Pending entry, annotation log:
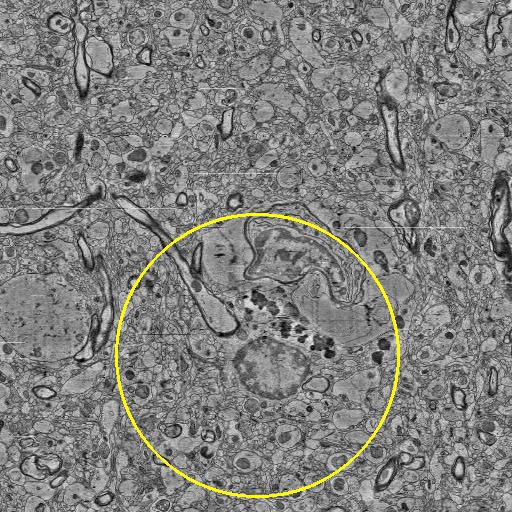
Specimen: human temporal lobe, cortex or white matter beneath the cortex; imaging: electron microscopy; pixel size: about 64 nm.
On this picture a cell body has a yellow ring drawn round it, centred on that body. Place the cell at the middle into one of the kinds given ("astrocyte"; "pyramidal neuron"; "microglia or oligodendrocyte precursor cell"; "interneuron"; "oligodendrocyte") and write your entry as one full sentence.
The cell body at the middle of the yellow ring belongs to an oligodendrocyte.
